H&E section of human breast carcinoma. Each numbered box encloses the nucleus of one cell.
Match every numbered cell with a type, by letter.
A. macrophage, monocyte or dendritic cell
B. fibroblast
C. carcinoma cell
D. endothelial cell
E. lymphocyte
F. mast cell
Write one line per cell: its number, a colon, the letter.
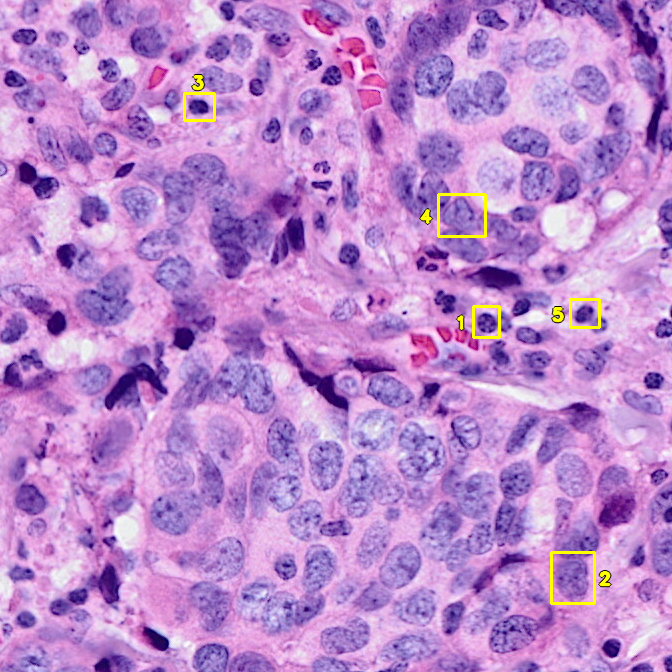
1: E
2: C
3: E
4: C
5: E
